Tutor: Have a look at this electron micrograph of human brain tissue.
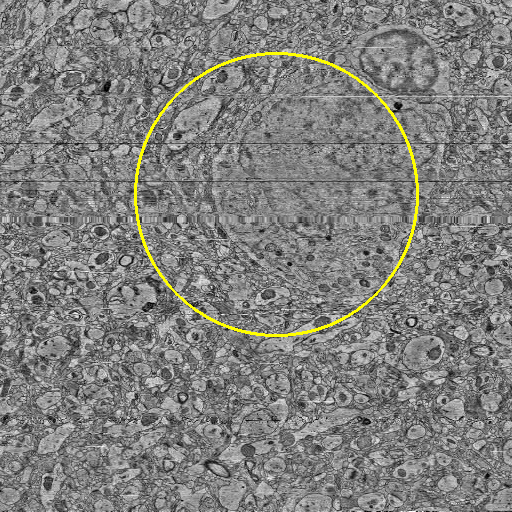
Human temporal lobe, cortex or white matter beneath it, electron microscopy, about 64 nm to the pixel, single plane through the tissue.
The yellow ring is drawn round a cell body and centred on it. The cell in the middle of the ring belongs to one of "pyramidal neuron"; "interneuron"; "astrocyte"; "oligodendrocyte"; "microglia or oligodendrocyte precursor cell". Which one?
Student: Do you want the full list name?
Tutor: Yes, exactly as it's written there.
interneuron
